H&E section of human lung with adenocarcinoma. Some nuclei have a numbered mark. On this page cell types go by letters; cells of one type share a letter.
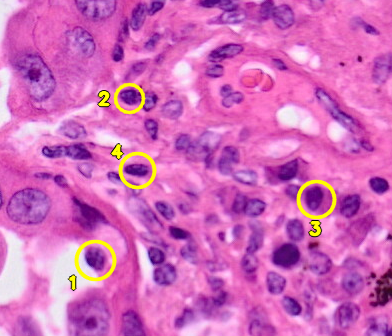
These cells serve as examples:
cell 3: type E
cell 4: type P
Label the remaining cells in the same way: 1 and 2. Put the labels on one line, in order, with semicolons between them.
type P; type P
